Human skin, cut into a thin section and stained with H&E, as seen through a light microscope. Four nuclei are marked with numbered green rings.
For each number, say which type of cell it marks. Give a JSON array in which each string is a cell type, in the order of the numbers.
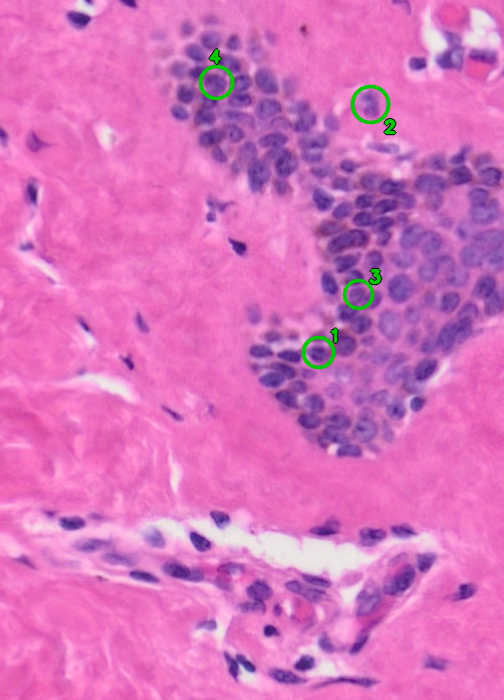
["basal keratinocyte", "fibroblast", "basal keratinocyte", "basal keratinocyte"]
